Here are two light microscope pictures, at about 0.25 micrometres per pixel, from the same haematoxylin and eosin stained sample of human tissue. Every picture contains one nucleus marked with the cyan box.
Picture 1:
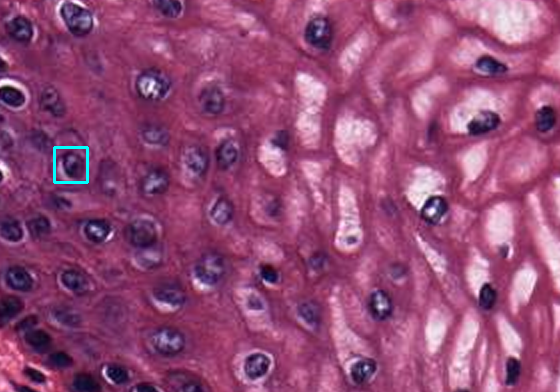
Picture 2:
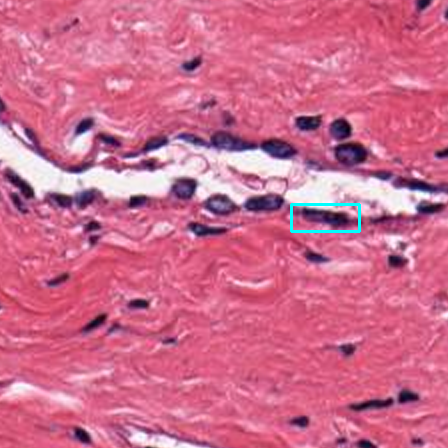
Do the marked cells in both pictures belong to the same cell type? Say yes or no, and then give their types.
No, the first is a squamous epithelial cell and the second an endothelial cell.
